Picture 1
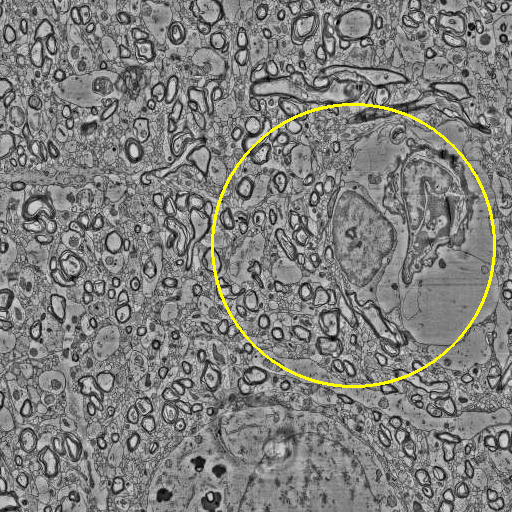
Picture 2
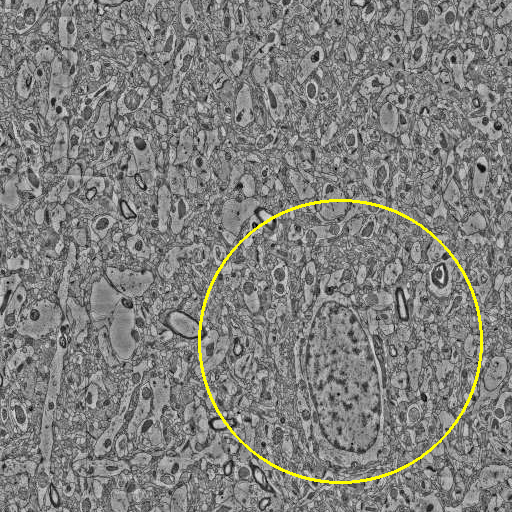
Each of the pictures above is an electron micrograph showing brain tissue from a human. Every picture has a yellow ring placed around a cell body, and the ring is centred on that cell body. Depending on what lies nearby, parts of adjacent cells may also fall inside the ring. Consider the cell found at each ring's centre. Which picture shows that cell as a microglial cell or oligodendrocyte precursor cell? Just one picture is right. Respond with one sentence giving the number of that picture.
The picture showing the wanted cell at the ring's centre is number 2.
